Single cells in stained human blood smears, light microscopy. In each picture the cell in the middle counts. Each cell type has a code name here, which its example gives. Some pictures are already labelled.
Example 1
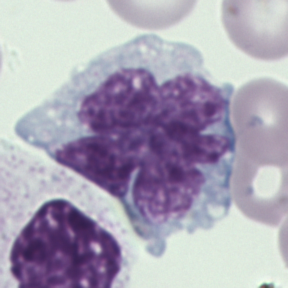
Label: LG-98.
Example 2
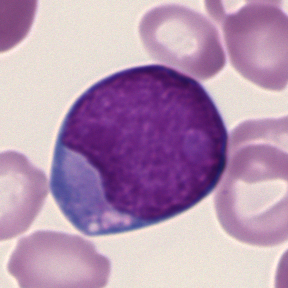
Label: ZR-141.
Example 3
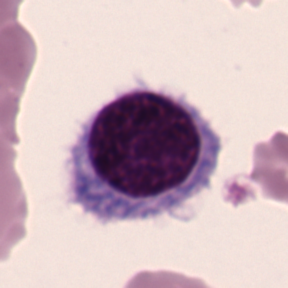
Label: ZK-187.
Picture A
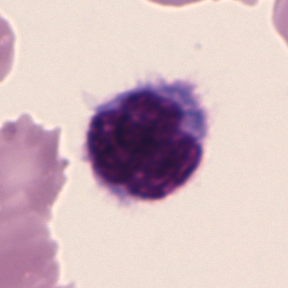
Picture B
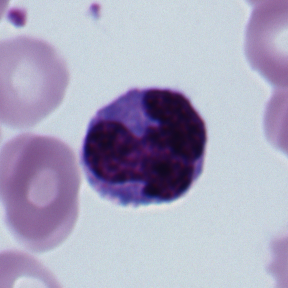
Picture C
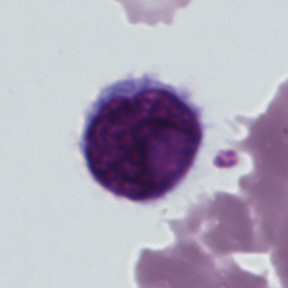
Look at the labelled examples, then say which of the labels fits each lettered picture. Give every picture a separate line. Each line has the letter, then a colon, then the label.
A: ZK-187.
B: LG-98.
C: ZK-187.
